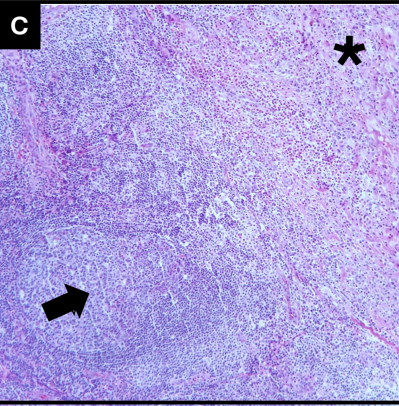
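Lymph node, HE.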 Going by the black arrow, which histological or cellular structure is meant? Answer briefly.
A: Reactive lymphoid follicles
